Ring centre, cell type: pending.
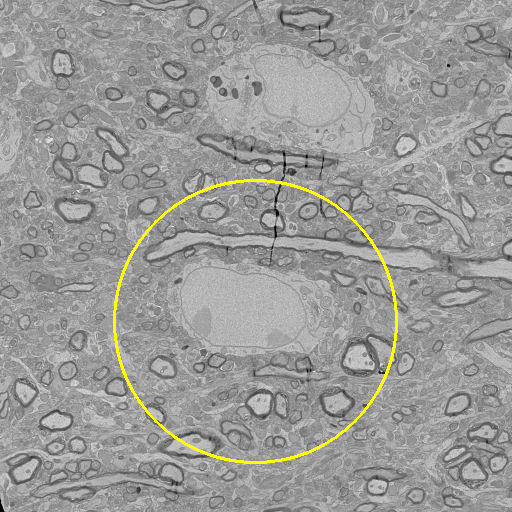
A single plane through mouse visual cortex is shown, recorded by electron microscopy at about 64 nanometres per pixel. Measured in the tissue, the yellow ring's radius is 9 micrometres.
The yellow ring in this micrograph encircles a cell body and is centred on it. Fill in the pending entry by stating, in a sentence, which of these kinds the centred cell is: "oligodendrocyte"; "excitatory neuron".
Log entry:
The centred cell is recorded as an excitatory neuron.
